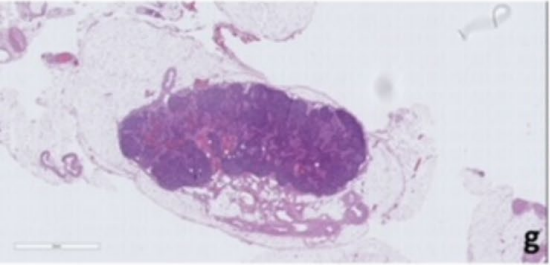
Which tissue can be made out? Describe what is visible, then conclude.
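An oval, encapsulated, densely cellular purple organ lies within fatty tissue. Vessels and fat surround the capsule.
Hence: Lymph node.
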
